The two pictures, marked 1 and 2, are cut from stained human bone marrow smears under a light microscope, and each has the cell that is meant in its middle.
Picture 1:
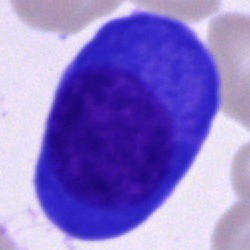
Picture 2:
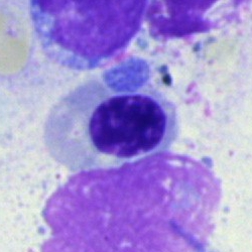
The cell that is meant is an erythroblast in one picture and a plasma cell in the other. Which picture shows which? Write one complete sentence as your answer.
Picture 1 shows a plasma cell and picture 2 shows an erythroblast.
